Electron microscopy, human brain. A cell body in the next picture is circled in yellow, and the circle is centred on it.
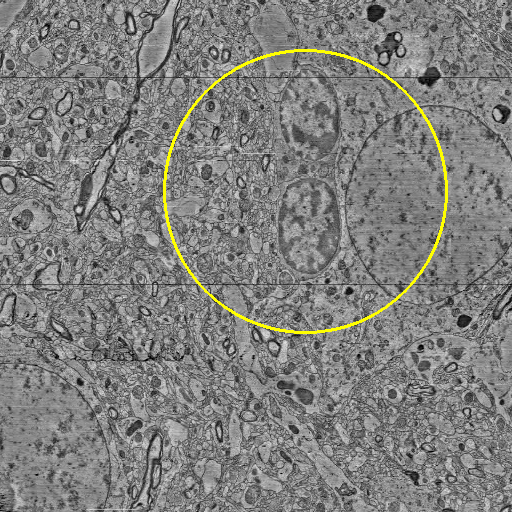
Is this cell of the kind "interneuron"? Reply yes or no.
no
